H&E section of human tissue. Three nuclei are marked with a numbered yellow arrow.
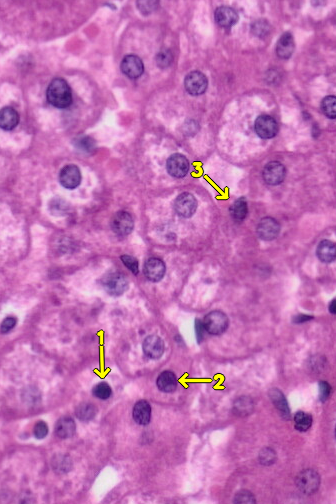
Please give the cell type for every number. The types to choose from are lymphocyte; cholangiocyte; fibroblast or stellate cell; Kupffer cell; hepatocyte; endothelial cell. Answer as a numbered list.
1. lymphocyte
2. hepatocyte
3. endothelial cell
